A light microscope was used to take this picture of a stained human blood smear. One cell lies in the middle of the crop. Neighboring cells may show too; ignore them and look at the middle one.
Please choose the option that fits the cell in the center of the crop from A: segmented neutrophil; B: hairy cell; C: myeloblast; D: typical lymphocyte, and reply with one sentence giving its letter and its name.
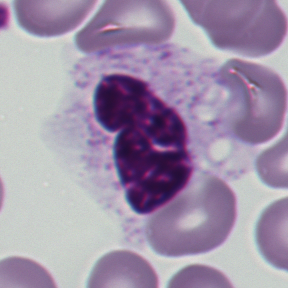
The centered cell is a segmented neutrophil, which is why option A is right.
